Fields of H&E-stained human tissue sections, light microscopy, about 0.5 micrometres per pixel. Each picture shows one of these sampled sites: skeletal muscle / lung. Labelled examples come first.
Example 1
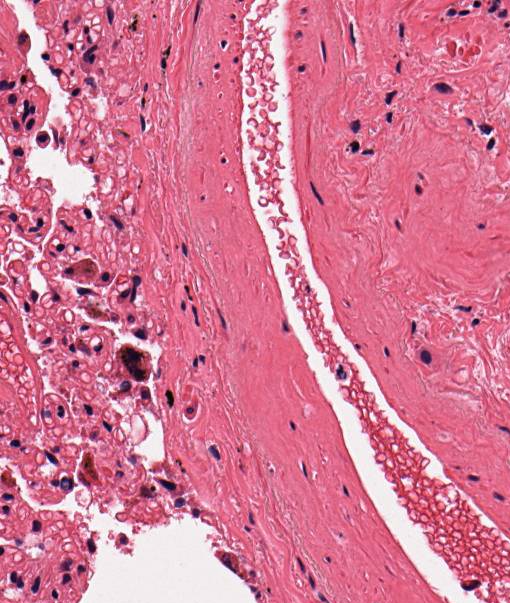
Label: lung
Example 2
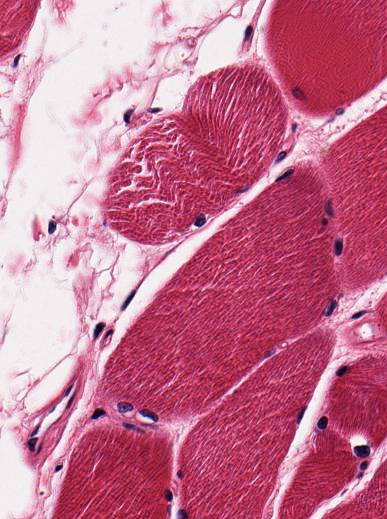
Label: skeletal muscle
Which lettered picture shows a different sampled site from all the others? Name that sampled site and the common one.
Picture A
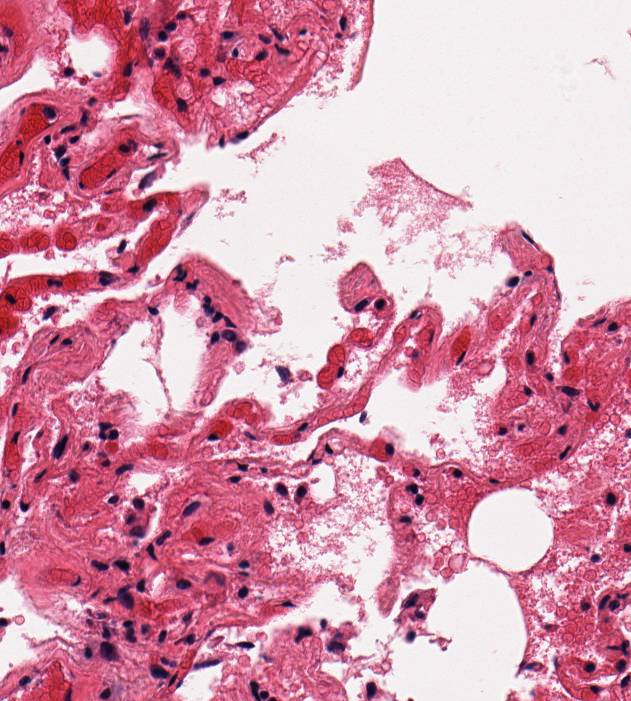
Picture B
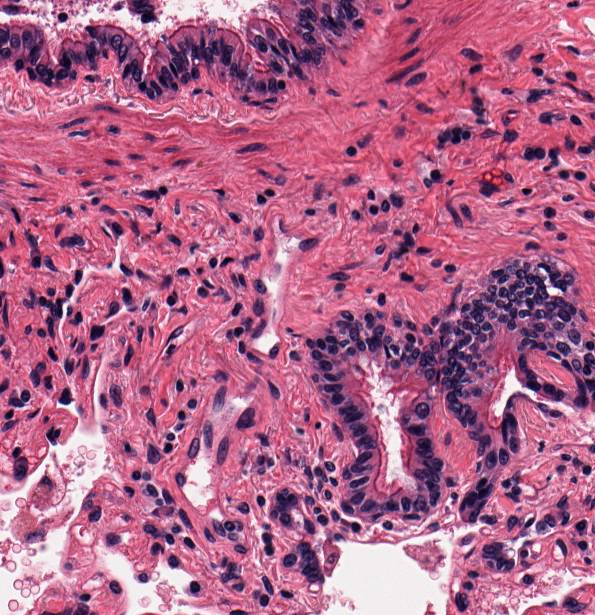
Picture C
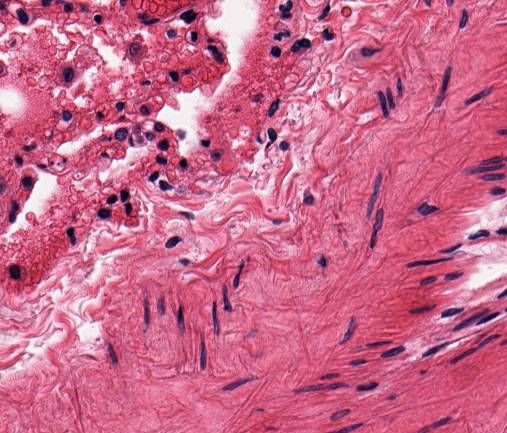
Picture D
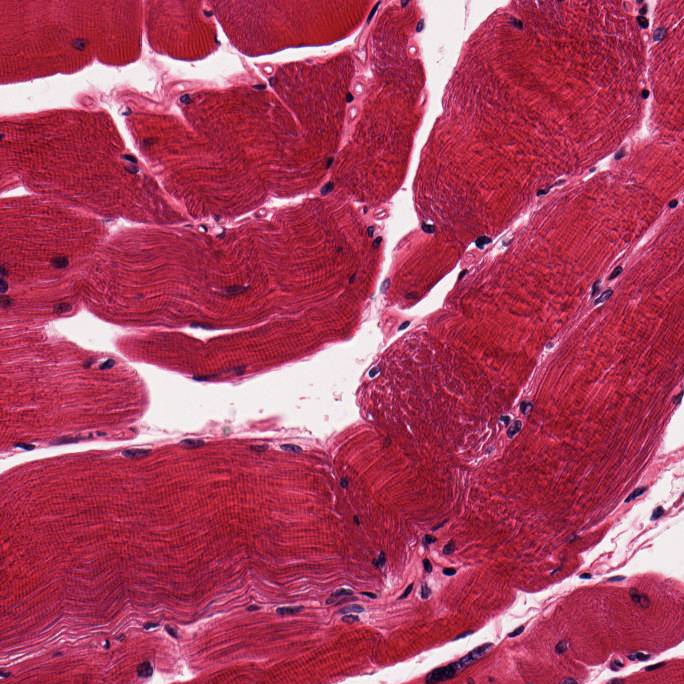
Odd one out: D (skeletal muscle). The rest: lung.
